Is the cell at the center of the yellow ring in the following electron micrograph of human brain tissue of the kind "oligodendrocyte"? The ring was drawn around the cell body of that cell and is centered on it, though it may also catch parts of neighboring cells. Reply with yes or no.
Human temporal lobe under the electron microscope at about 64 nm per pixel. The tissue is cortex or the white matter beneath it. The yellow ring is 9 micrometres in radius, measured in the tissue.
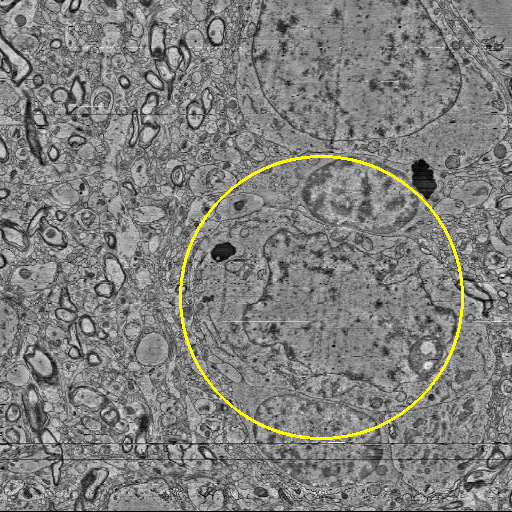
No, it is of another kind.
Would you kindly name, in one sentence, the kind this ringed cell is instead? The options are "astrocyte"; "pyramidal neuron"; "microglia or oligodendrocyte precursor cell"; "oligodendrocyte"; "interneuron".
Instead, the ring surrounds an interneuron in this picture.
